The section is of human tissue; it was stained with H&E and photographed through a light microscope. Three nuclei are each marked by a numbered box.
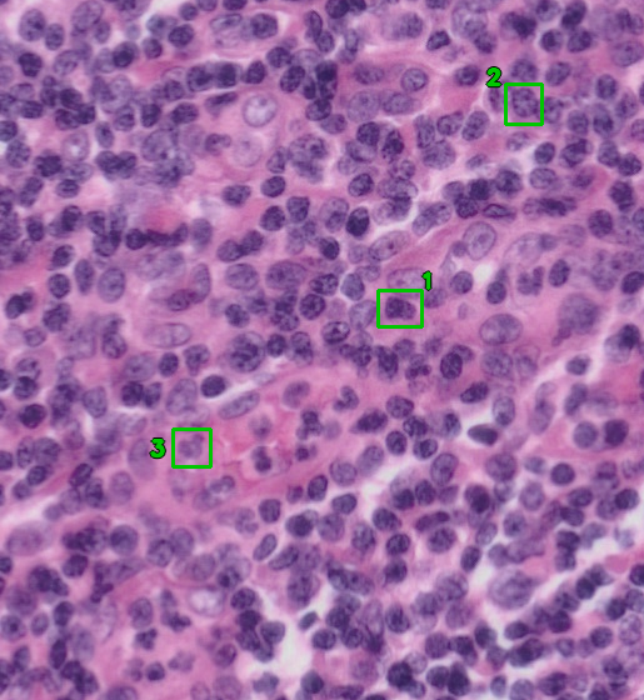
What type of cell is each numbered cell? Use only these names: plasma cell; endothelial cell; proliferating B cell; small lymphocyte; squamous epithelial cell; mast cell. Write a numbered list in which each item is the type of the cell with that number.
1. endothelial cell
2. plasma cell
3. endothelial cell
